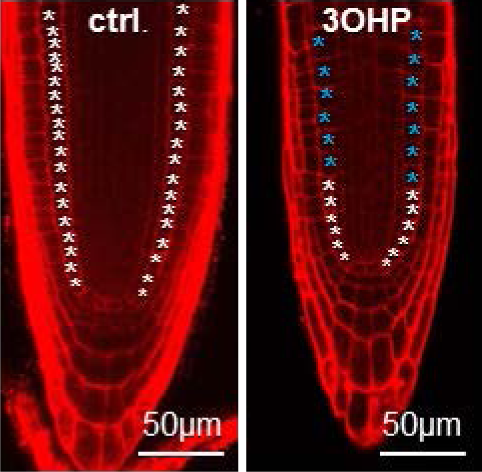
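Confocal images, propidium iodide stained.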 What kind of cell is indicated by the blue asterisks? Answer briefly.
elongated cells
